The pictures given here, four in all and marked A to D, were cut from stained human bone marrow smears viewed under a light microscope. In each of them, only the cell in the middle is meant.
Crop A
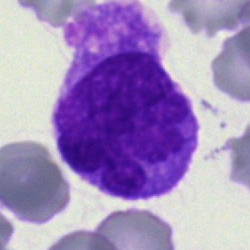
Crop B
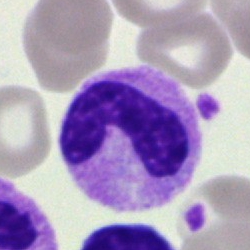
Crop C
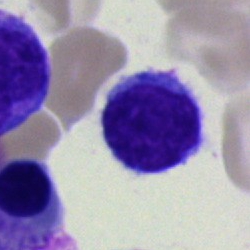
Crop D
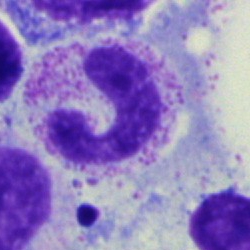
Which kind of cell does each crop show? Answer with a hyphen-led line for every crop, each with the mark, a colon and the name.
- A: monocyte
- B: band neutrophil
- C: lymphocyte
- D: band neutrophil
